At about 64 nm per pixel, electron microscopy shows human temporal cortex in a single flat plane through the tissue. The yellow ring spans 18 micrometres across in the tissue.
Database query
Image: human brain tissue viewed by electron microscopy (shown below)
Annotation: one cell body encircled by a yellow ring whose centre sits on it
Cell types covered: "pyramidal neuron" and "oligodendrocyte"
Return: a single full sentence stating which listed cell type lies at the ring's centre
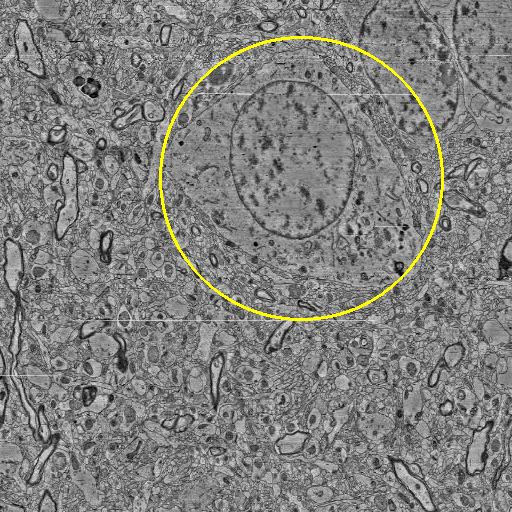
In the image, the cell lying at the ring's centre is a pyramidal neuron.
